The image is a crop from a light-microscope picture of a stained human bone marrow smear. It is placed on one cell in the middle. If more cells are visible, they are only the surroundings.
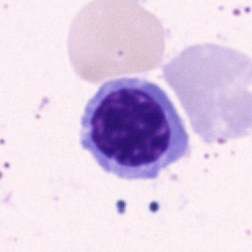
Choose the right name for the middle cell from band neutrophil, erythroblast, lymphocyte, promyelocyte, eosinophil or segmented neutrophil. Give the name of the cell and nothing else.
erythroblast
